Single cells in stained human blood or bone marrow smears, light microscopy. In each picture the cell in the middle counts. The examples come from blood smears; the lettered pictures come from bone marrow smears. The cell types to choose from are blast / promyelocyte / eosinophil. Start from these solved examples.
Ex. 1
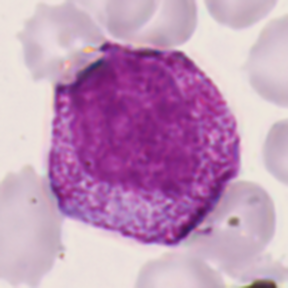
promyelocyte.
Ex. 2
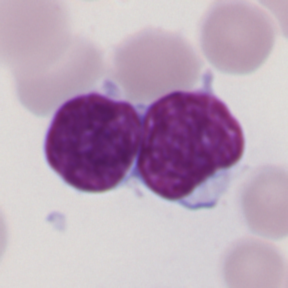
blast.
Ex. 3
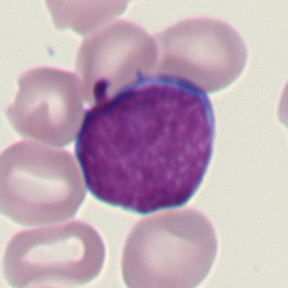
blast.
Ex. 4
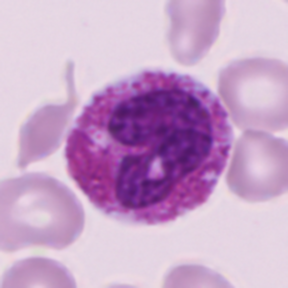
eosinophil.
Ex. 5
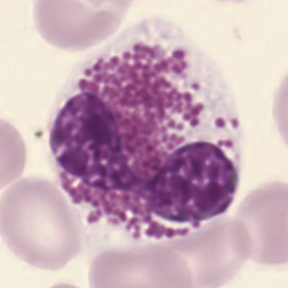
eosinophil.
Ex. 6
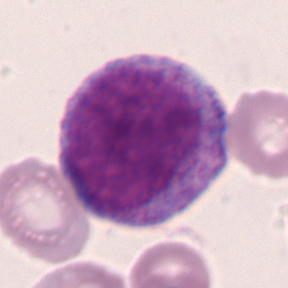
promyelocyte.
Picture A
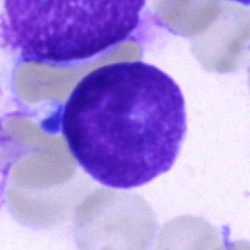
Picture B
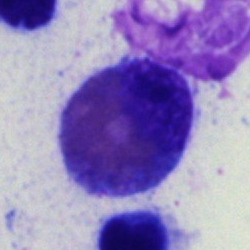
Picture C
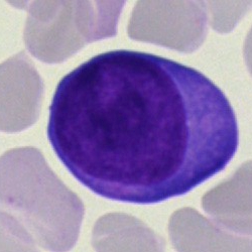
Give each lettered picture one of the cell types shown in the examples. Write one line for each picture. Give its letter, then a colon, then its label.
A: blast.
B: eosinophil.
C: blast.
